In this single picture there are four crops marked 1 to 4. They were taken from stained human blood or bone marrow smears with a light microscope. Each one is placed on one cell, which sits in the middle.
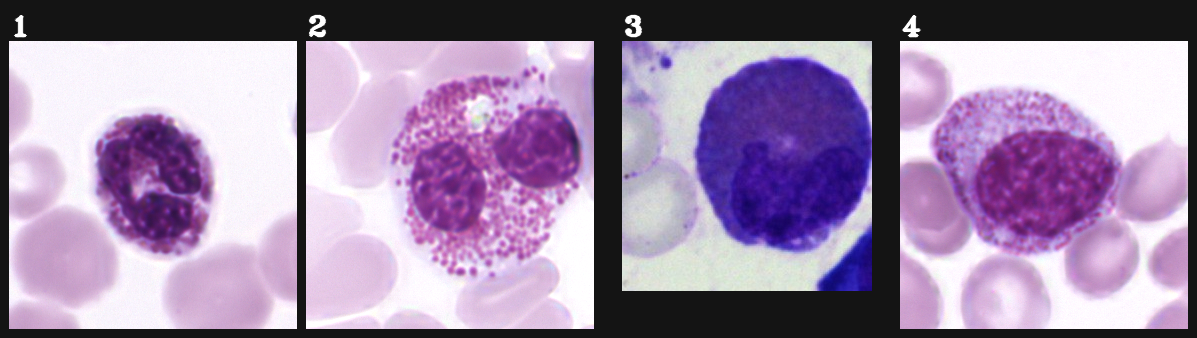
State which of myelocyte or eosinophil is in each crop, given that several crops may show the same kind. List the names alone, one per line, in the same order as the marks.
eosinophil
eosinophil
eosinophil
myelocyte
